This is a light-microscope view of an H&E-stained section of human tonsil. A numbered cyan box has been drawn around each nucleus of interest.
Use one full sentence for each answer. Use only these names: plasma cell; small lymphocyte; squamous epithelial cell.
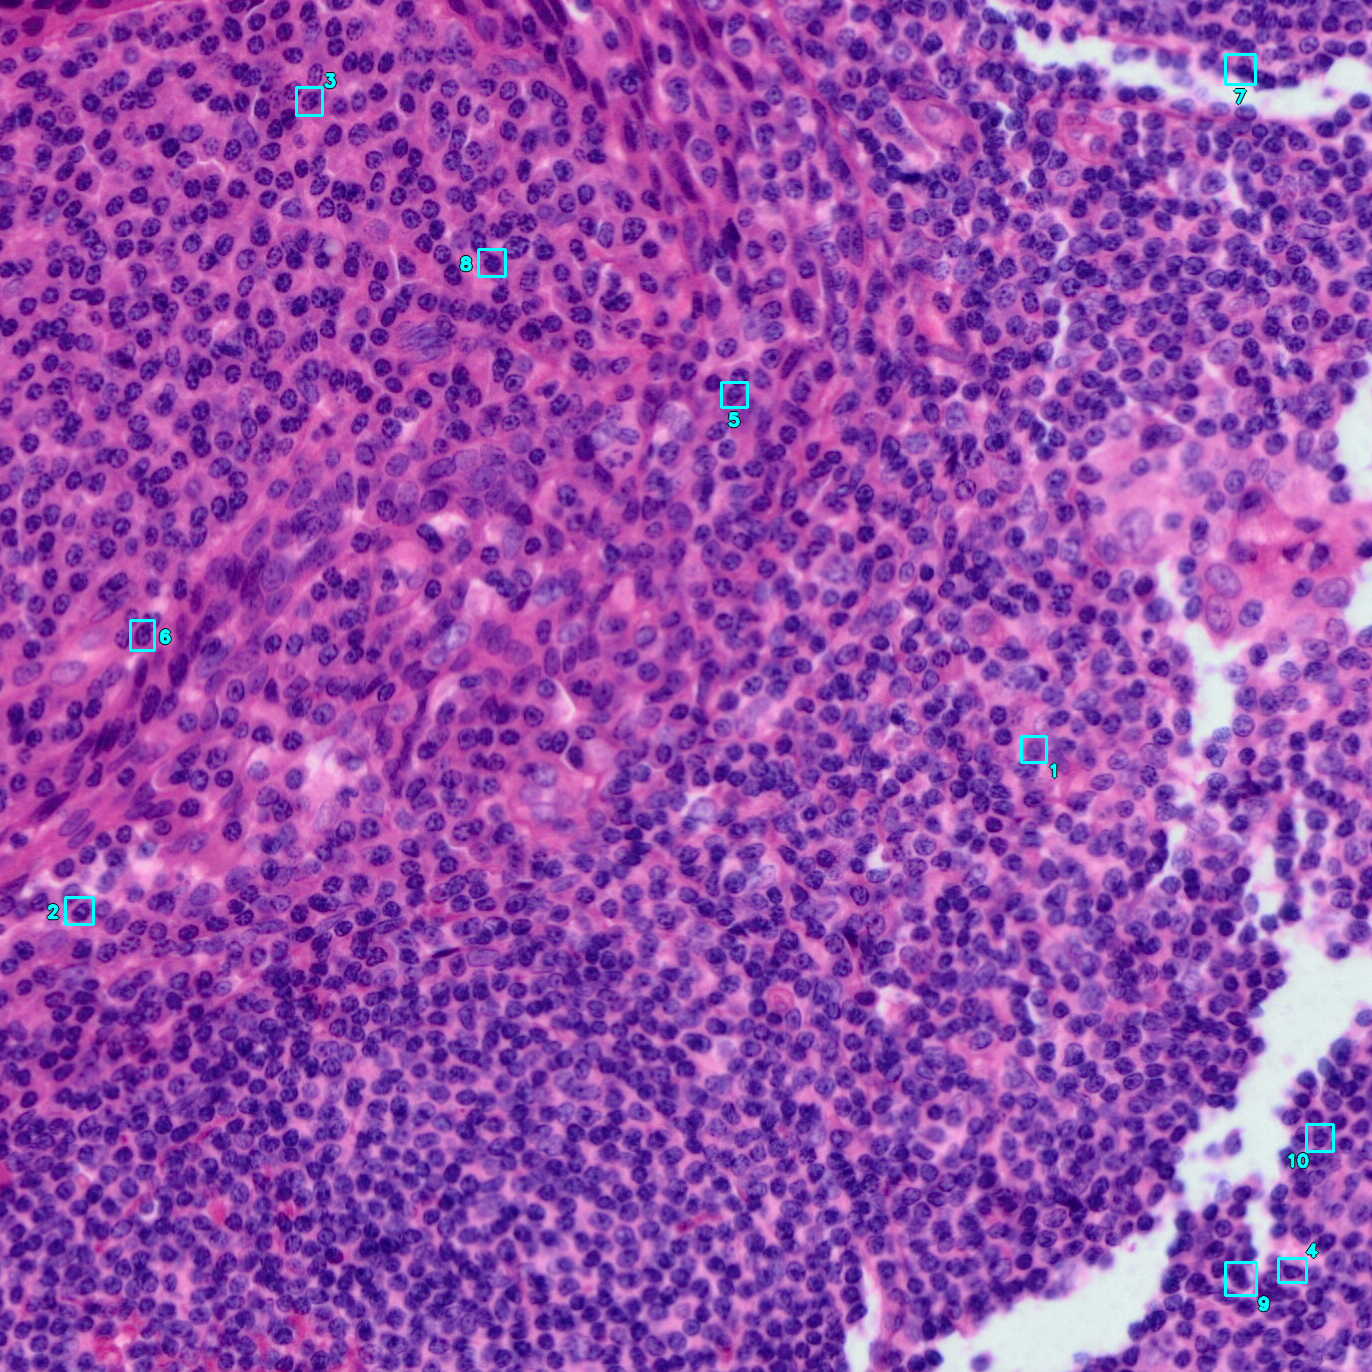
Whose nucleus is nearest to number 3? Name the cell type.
The nucleus nearest to number 3 is that of a plasma cell.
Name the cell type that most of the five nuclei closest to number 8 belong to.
Around number 8, most of the five nearest nuclei are those of plasma cells.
